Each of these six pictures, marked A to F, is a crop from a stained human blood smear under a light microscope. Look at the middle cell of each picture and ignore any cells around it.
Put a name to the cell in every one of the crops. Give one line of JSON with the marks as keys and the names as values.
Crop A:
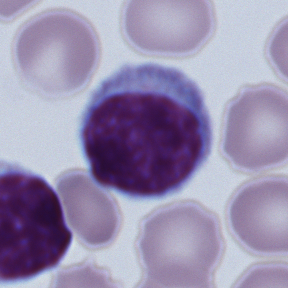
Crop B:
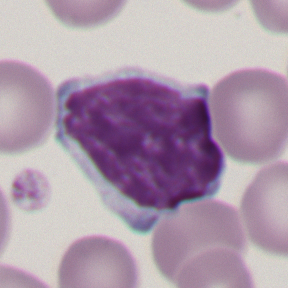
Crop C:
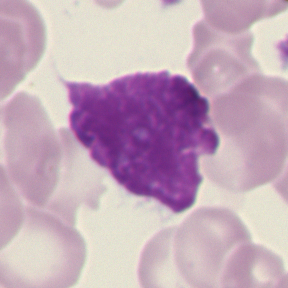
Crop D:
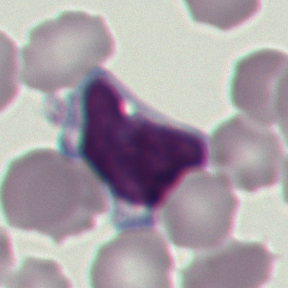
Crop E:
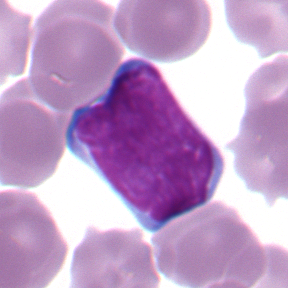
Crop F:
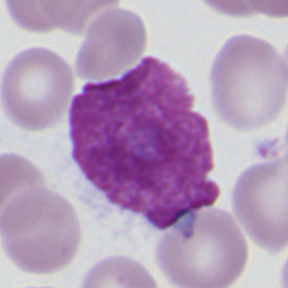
{"A": "typical lymphocyte", "B": "typical lymphocyte", "C": "smudge cell", "D": "typical lymphocyte", "E": "typical lymphocyte", "F": "smudge cell"}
